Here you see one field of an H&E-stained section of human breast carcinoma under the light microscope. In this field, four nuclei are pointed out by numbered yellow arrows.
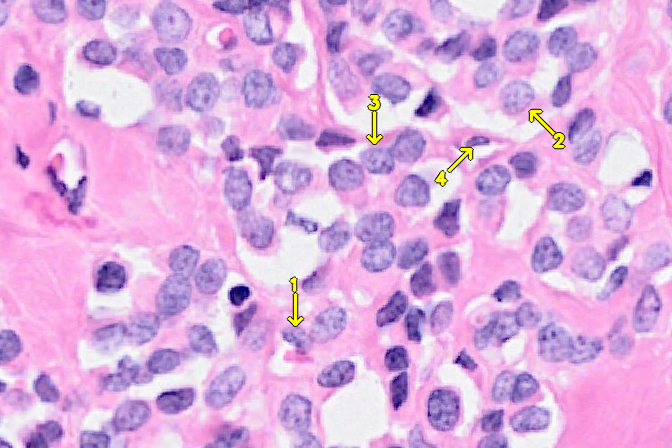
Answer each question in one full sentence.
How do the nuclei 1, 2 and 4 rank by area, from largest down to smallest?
Largest first, the order by area is 2, 1, 4.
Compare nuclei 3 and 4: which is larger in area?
Of the two, number 3 is bigger and takes up about 4 times the area of number 4.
